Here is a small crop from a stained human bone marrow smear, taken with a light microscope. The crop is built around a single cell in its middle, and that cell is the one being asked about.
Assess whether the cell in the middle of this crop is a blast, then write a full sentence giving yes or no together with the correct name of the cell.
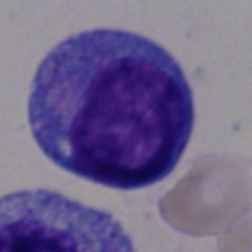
Yes, it is a blast that lies in the middle.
